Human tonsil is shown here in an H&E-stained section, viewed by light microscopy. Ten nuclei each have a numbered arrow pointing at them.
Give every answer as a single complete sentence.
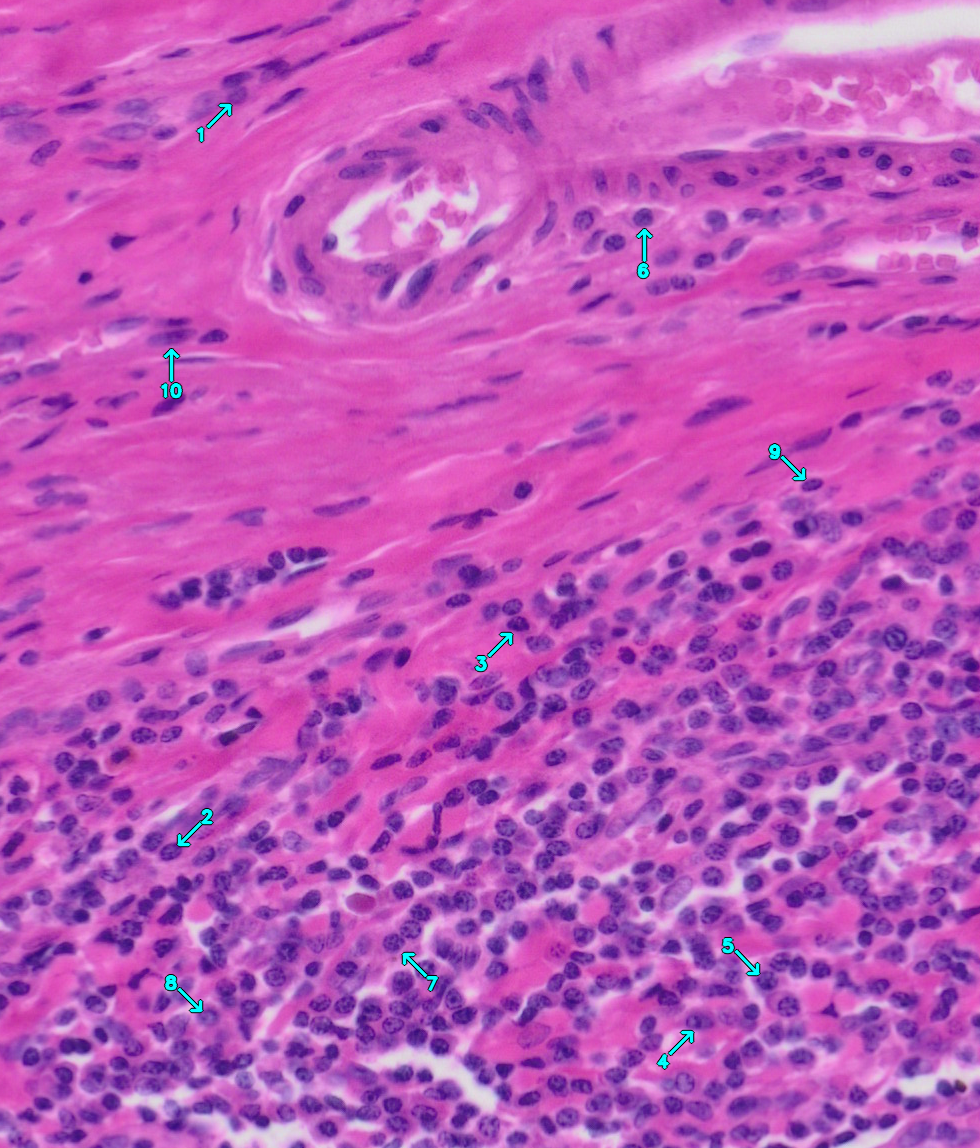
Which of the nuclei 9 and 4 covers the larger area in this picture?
Nucleus 4 is larger, with an area about 1.5 times that of nucleus 9.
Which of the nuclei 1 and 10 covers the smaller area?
With nucleus 10 about 2 times its size, nucleus 1 is the smaller of the two.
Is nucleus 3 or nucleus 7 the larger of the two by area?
Nucleus 7 is larger, with an area about 1.5 times that of nucleus 3.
